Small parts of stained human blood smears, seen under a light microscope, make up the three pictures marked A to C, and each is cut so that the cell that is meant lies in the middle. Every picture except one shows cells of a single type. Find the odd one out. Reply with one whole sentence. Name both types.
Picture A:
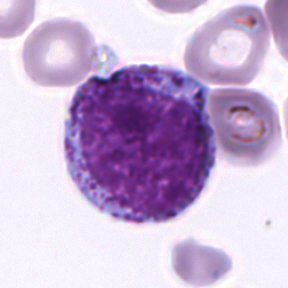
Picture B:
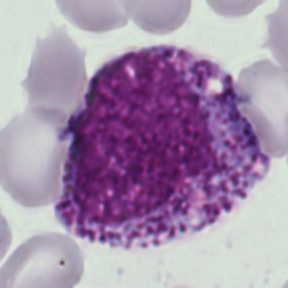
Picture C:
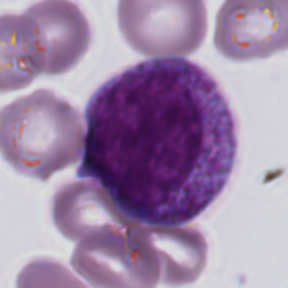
All pictures except C show promyelocytes; picture C shows a myelocyte.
